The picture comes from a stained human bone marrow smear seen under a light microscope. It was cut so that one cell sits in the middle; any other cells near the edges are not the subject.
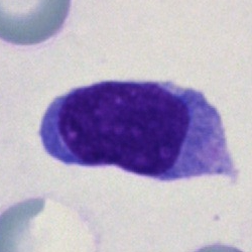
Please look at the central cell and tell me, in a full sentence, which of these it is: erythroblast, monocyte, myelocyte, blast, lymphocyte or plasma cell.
The identification for the central cell is a blast.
